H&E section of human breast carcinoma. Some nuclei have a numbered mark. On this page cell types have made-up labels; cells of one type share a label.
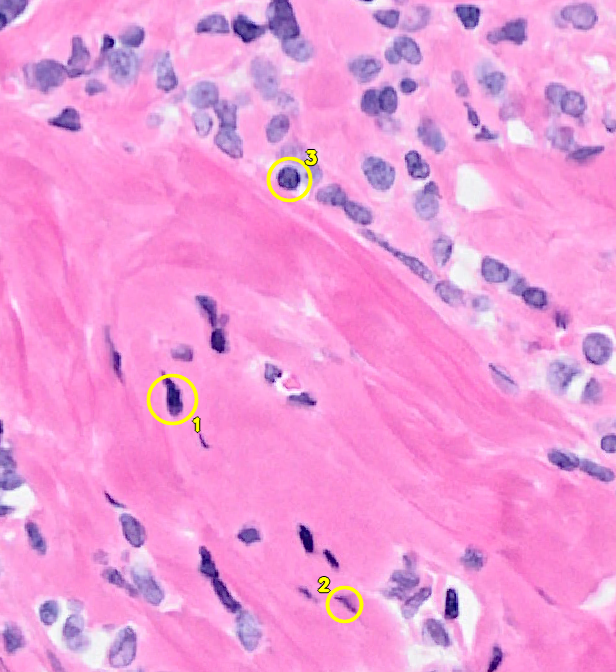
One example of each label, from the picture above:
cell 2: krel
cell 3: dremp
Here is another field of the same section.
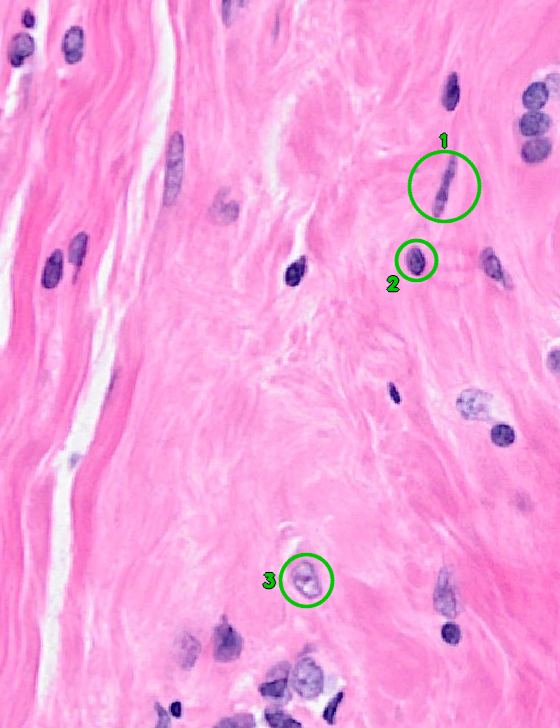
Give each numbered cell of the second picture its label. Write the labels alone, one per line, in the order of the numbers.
krel
dremp
krel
